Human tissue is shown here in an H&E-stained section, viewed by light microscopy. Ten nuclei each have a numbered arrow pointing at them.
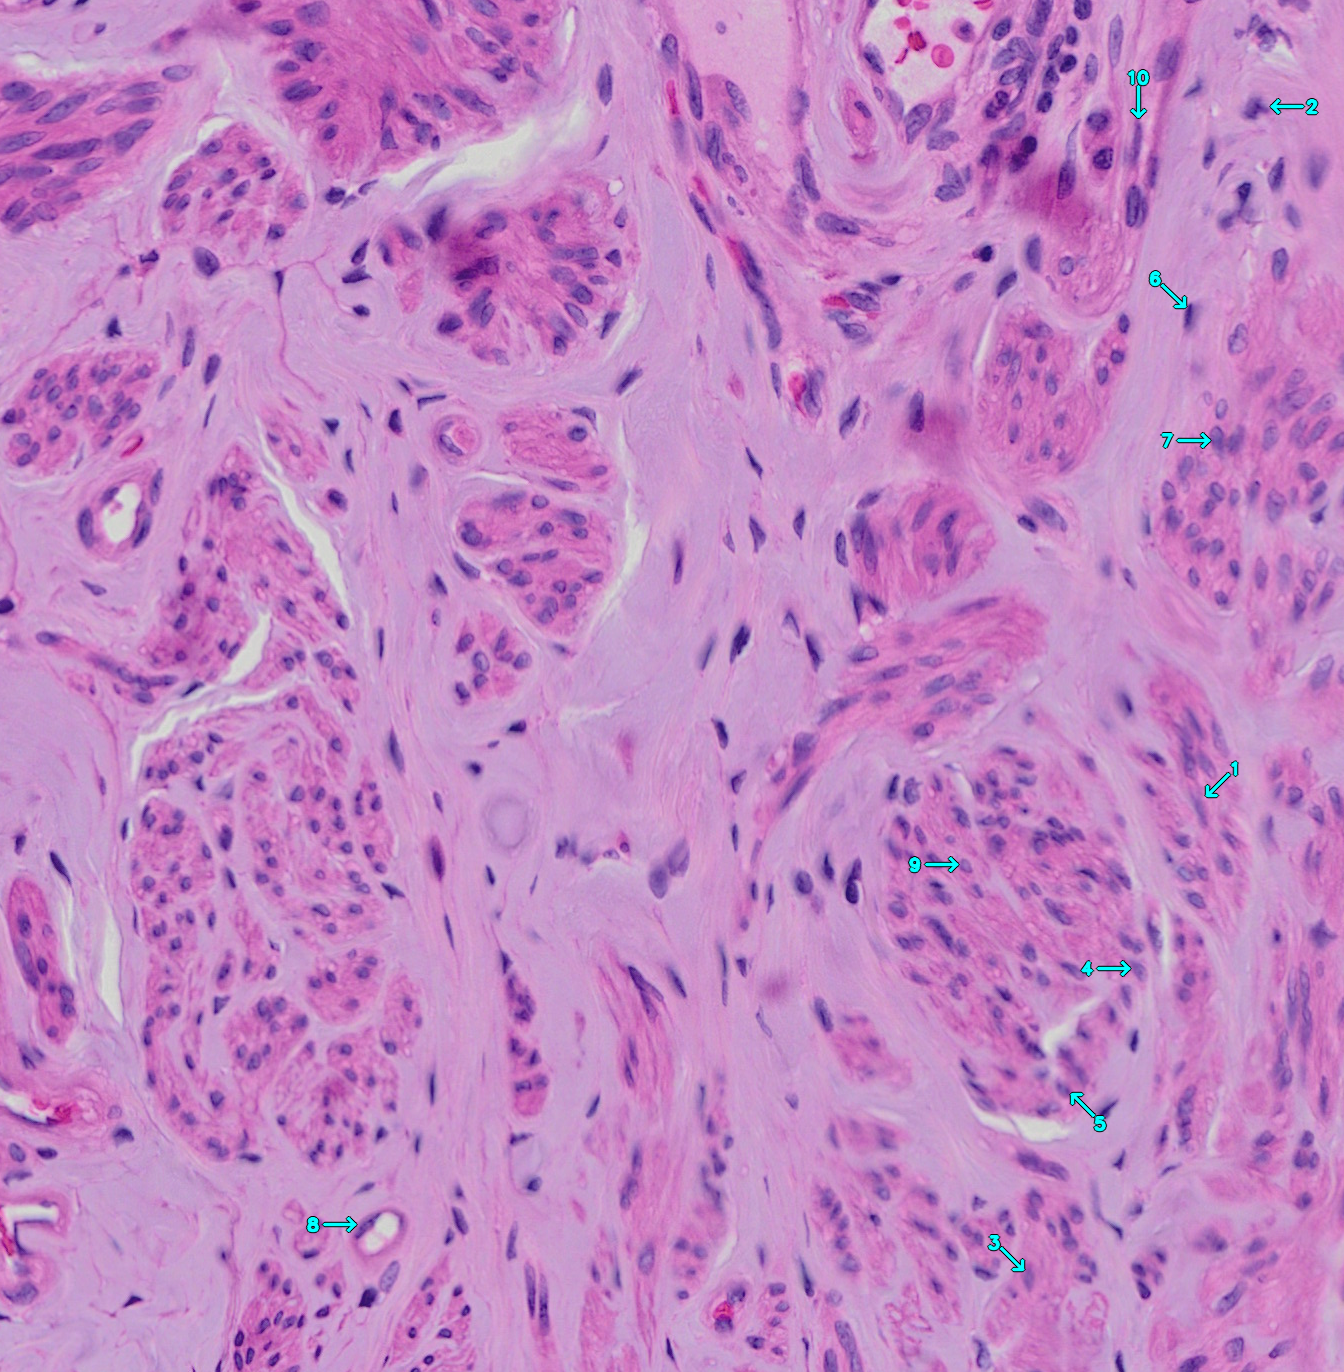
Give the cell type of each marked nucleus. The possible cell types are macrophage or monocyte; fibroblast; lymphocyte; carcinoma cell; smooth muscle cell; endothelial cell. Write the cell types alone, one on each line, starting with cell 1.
smooth muscle cell
fibroblast
smooth muscle cell
smooth muscle cell
smooth muscle cell
fibroblast
smooth muscle cell
endothelial cell
smooth muscle cell
endothelial cell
